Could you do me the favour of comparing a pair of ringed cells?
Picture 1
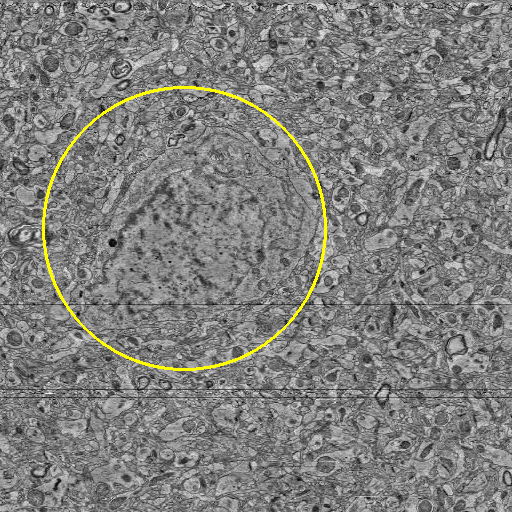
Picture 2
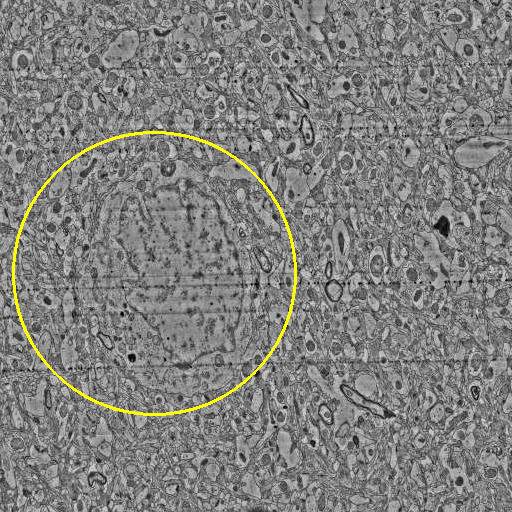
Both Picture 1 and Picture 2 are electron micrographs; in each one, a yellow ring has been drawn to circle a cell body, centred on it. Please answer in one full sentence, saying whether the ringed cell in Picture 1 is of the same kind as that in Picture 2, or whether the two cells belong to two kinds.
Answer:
The ringed cell in Picture 1 is of the same kind as that in Picture 2.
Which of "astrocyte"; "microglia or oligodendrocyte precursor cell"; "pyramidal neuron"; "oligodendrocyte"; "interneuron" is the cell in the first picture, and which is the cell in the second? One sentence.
Each of the two rings is centred on an interneuron.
